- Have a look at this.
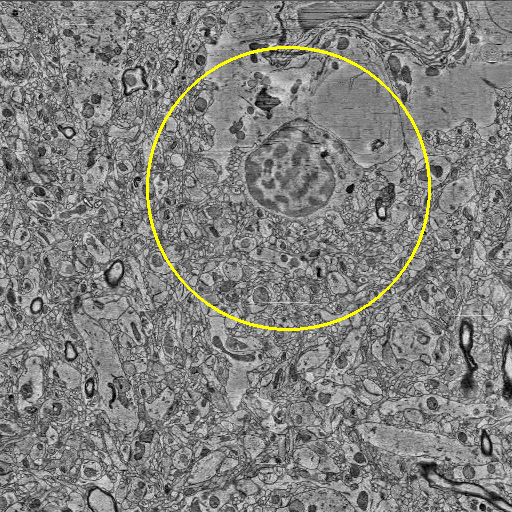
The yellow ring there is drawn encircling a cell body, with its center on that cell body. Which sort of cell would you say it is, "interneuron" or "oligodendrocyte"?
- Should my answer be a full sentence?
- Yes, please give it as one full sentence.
For this picture, an oligodendrocyte is the cell where the yellow ring has its center.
